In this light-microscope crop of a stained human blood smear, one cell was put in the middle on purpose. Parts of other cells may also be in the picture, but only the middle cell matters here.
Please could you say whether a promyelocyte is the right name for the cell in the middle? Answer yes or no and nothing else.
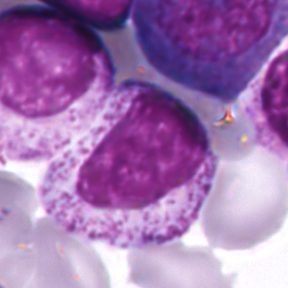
no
